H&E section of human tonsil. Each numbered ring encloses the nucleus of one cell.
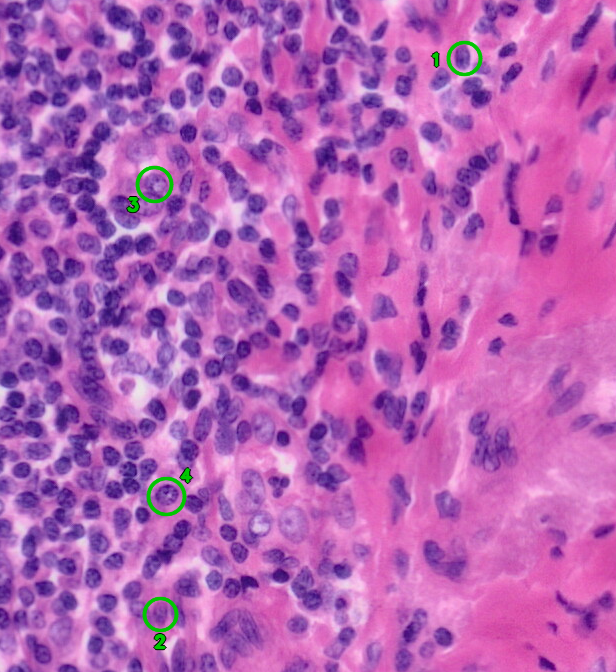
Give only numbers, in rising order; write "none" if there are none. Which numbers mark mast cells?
1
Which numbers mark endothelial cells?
2, 3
